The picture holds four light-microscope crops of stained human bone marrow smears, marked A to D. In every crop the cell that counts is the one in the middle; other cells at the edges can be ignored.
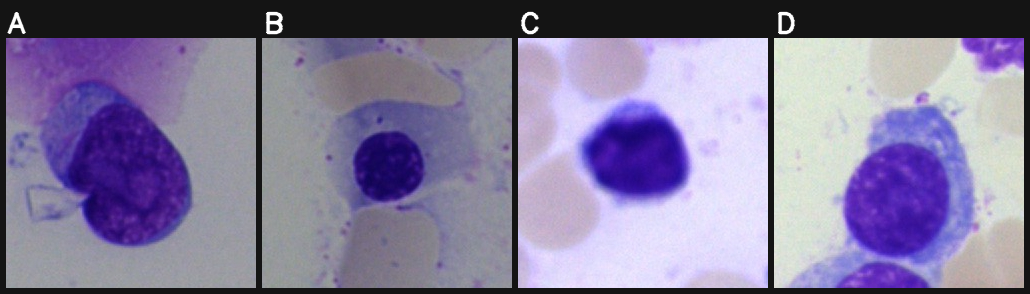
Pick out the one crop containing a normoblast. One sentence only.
The one crop that shows a normoblast is crop B.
